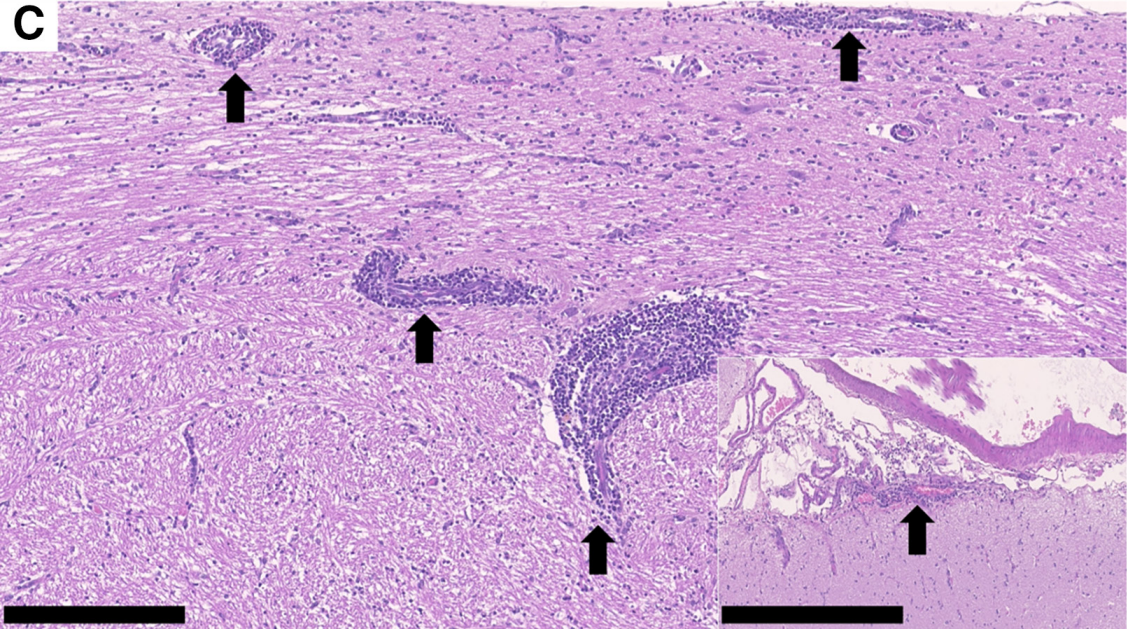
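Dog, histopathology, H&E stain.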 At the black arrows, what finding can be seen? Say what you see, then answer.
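Dense clusters of small, dark-staining nuclei surround blood vessels. The clusters form cuffs around vessel profiles within paler pink neural tissue. Several such cuffs are scattered across the section and one lies at the surface in the inset. So: perivascular infiltrates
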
